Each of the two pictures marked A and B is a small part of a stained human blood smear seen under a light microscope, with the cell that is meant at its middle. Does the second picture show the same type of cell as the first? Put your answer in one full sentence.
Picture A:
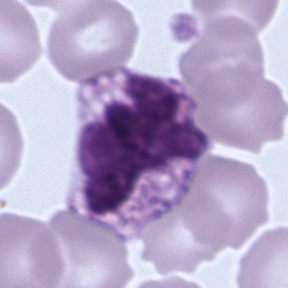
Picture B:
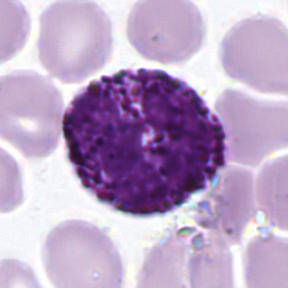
Yes, both are basophils.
